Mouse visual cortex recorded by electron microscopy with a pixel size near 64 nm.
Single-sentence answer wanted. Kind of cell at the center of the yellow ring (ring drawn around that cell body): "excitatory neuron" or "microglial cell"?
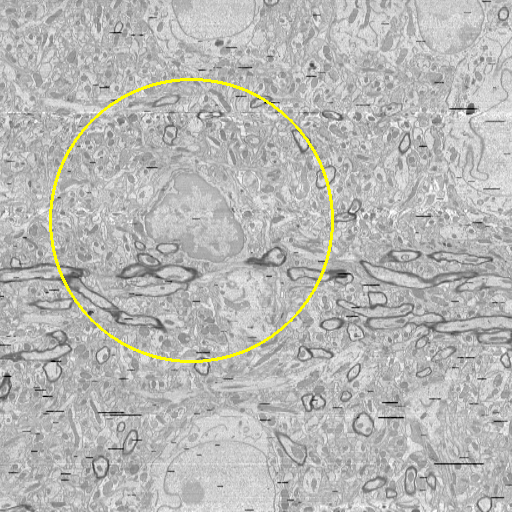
The cell centered in the ring is a microglial cell.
